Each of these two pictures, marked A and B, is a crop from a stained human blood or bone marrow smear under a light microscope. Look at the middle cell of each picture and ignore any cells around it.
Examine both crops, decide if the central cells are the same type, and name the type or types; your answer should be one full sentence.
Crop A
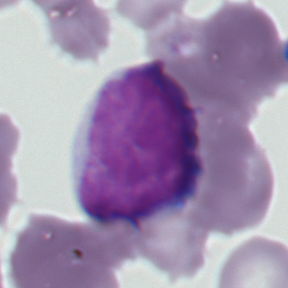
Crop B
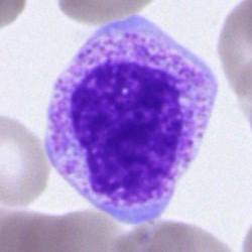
No, crop A holds a blast, and a myelocyte occupies crop B.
